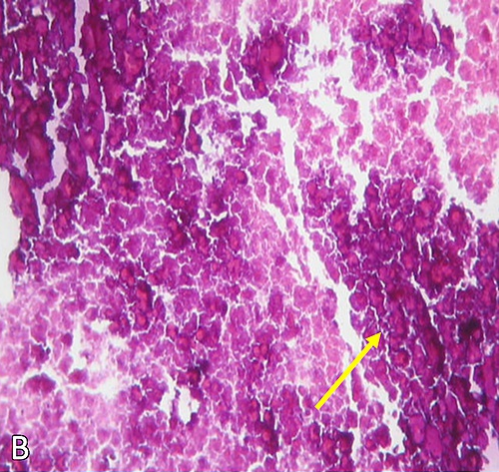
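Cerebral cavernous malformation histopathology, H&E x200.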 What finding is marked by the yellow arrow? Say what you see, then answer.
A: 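Broad sheets of densely packed, deep pink-magenta material. Material is fragmented into small cracked clumps. The answer: Calcified dense eosinophilic areas.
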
